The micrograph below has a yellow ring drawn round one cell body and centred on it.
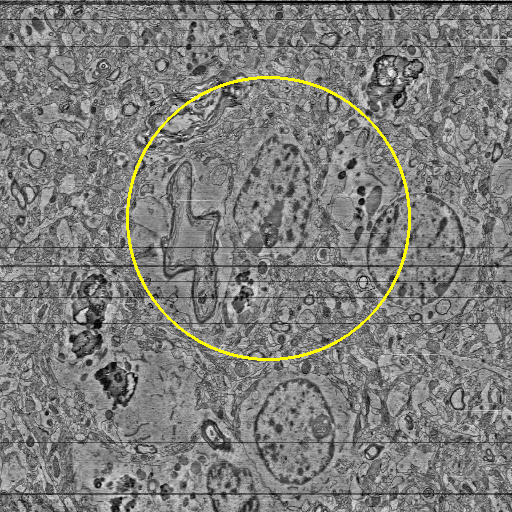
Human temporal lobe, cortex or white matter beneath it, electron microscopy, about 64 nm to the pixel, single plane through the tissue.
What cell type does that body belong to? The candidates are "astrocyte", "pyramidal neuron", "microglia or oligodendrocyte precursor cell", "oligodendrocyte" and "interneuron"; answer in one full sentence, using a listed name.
This is an astrocyte, the cell whose body lies at the centre of the ring.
